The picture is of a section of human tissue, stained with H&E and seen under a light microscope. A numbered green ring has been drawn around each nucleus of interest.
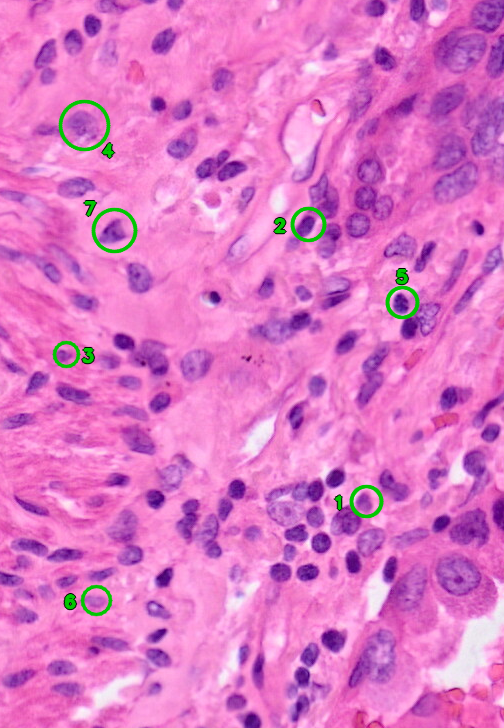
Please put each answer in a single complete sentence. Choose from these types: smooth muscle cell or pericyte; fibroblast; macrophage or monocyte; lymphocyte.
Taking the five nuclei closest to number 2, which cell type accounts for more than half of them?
Most of the five nuclei nearest to number 2 are those of macrophages or monocytes.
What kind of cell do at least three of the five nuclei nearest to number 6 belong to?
Around number 6, most of the five nearest nuclei are those of smooth muscle cells or pericytes.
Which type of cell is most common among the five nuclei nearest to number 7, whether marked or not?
Of the five nuclei nearest to number 7, most belong to smooth muscle cells or pericytes.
